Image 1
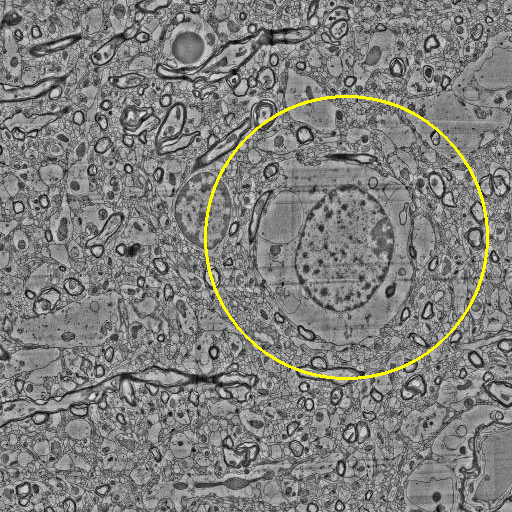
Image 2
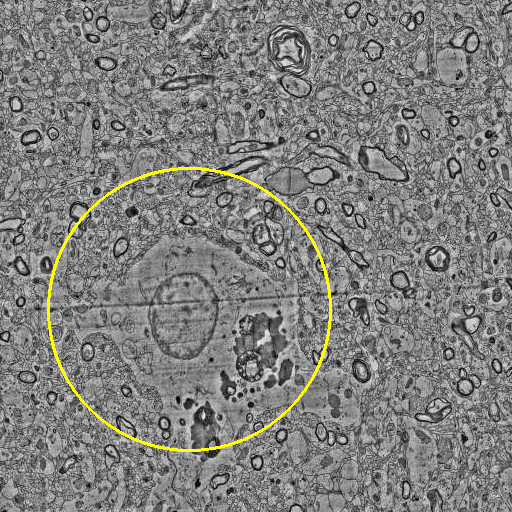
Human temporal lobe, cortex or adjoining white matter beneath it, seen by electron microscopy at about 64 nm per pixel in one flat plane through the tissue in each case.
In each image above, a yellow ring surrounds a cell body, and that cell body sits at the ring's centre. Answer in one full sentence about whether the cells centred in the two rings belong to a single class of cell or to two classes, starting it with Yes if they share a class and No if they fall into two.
Yes, the cells centred in the two yellow rings belong to a single class of cell.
